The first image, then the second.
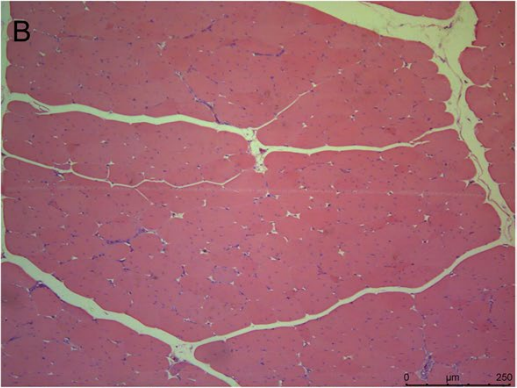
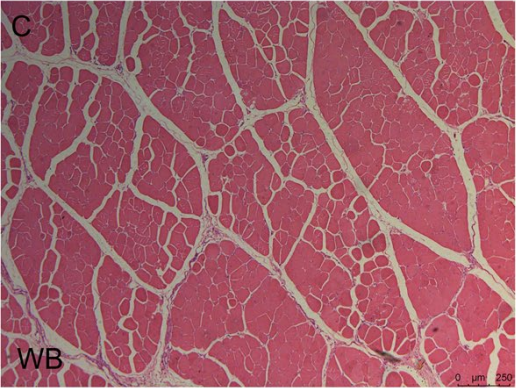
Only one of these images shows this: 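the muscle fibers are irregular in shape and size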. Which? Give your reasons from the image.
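The second image. First image: fibers are tightly packed and polygonal with thin clefts between them. Second image: fibers are of varied size, many rounded, separated by wide pale gaps.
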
